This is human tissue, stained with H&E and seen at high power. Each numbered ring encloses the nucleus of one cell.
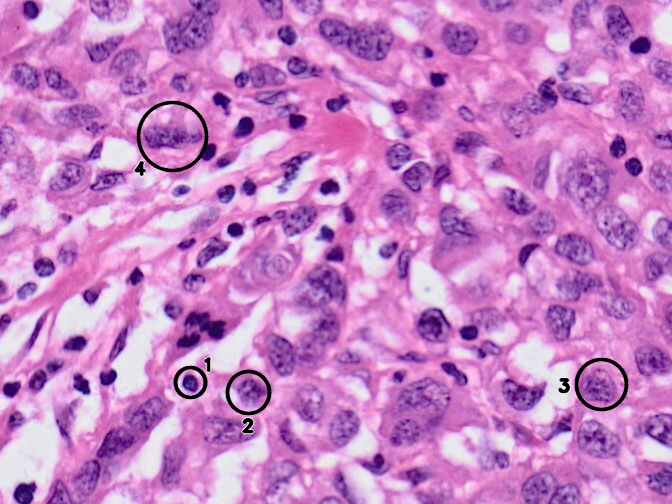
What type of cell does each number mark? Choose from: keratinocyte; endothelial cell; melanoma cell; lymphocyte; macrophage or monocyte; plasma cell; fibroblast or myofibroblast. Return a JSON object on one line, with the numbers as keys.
{"1": "lymphocyte", "2": "melanoma cell", "3": "melanoma cell", "4": "melanoma cell"}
